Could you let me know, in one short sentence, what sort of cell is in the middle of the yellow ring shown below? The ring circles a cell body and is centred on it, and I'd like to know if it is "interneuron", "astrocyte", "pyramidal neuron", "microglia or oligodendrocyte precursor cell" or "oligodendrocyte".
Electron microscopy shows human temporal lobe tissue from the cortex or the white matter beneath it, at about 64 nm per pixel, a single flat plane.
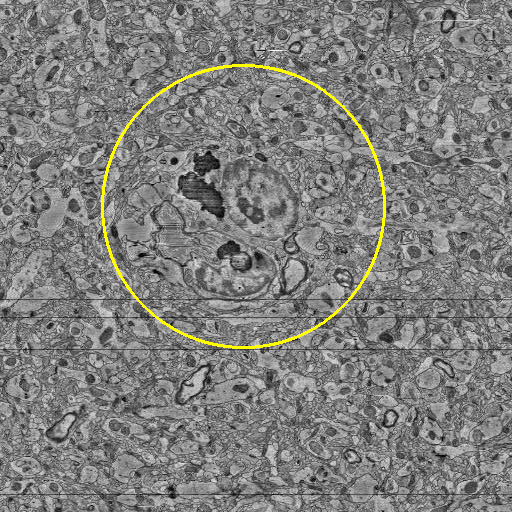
The ring circles the cell body of an oligodendrocyte.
